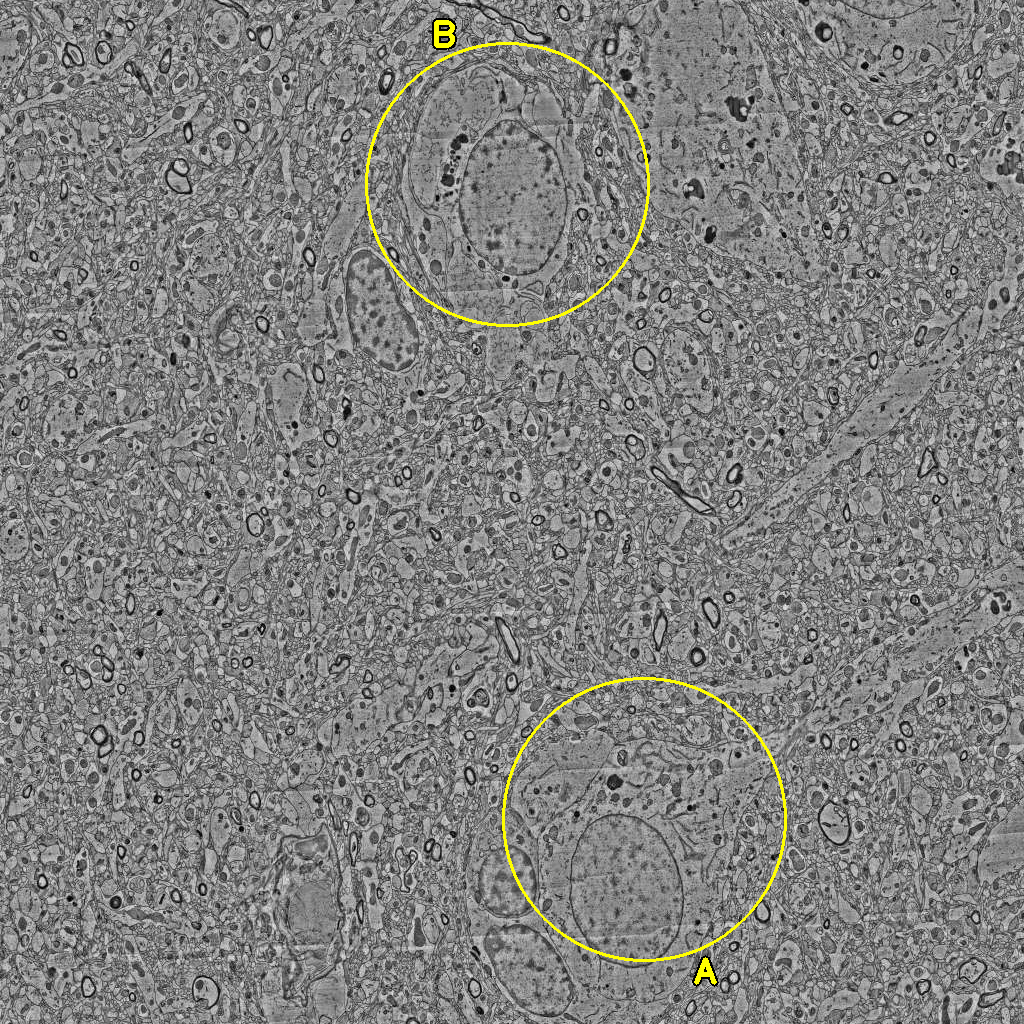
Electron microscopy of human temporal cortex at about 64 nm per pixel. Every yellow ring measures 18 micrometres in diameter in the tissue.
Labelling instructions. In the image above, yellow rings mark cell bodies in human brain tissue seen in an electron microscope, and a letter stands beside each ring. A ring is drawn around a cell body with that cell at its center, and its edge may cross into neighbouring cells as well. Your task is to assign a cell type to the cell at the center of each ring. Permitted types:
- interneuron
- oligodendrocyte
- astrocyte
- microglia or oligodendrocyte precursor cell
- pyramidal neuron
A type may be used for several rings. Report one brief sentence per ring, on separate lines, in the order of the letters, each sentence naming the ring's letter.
The cell at the center of ring A is a pyramidal neuron.
The cell at the center of ring B is an astrocyte.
